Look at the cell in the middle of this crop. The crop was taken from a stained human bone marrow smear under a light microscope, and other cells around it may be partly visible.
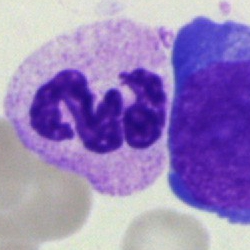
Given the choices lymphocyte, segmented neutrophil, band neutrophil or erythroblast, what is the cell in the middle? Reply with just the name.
segmented neutrophil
